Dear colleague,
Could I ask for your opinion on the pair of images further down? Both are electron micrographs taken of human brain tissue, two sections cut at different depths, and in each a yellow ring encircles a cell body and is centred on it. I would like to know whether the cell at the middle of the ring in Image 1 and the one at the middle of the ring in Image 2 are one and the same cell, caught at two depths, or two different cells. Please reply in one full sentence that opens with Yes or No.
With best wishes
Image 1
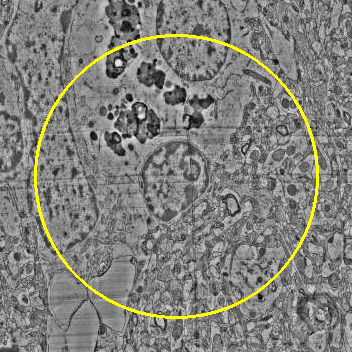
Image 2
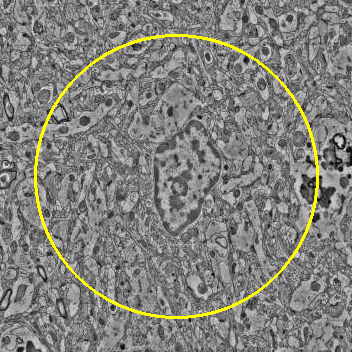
No, the two rings mark two different cells.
